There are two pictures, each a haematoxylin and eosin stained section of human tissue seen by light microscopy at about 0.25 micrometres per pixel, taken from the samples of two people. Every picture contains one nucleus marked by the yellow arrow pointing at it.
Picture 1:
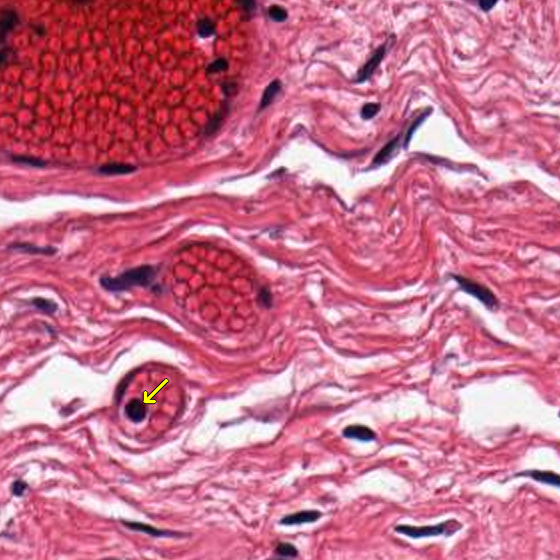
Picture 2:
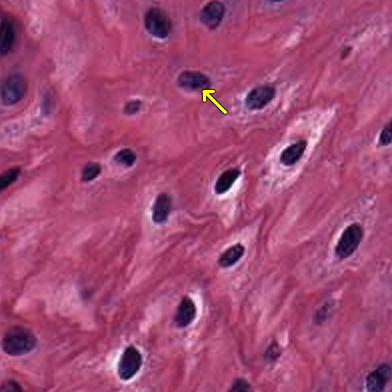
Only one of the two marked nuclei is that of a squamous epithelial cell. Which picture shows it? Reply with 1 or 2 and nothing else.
2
